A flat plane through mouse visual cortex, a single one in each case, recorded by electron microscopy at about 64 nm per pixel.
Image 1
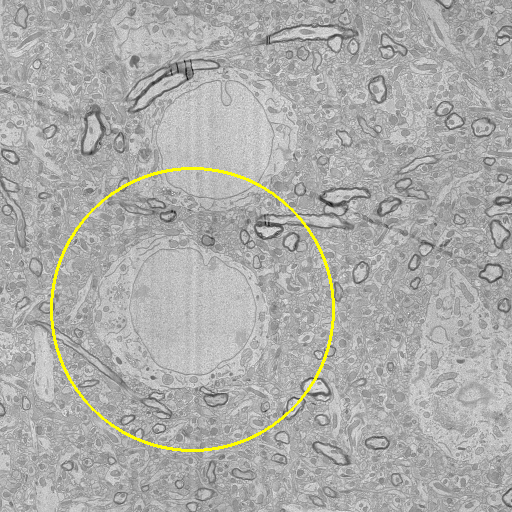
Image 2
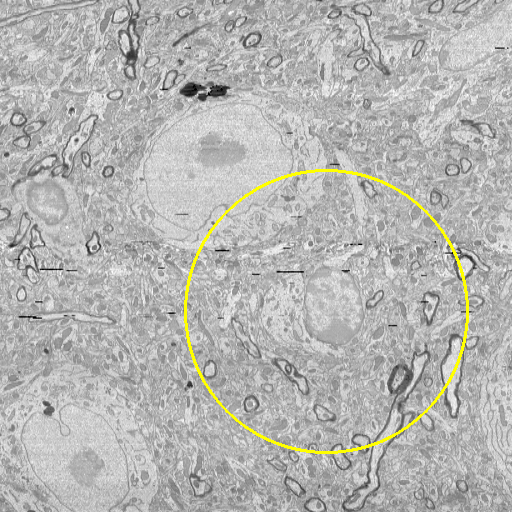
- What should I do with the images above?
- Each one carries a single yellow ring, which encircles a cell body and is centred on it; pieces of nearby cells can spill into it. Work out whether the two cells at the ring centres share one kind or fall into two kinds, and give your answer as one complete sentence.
The ring-centre cells of Image 1 and Image 2 fall into two kinds.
